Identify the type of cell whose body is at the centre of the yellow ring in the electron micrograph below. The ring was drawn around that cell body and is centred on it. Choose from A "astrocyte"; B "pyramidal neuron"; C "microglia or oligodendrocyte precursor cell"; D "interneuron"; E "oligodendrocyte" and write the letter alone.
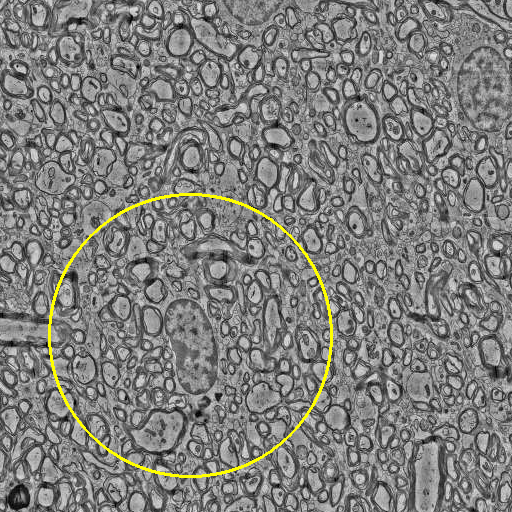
C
